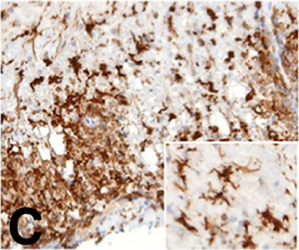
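Many cells are plump, with enlarged darkly stained bodies and short, thick processes, and in places they merge into confluent brown sheets. The tissue between them looks loosened, with small clear vacuoles. The higher-magnification inset shows single cells with stout bodies and several short branching processes.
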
